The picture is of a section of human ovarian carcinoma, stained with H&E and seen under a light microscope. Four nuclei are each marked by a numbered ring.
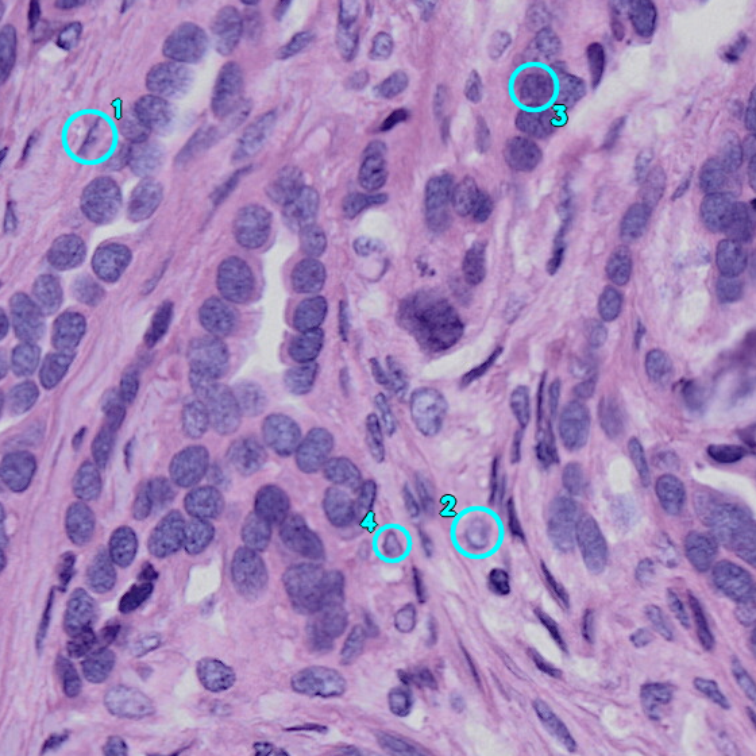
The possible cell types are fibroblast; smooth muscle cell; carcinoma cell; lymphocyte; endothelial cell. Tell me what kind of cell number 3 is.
carcinoma cell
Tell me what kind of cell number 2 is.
fibroblast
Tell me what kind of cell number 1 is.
fibroblast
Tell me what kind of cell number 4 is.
fibroblast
